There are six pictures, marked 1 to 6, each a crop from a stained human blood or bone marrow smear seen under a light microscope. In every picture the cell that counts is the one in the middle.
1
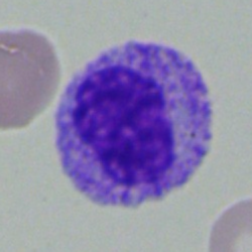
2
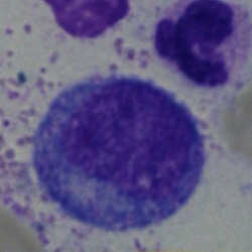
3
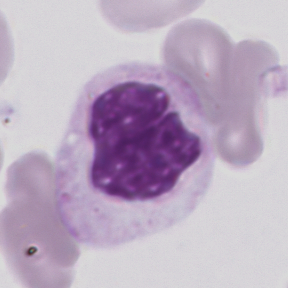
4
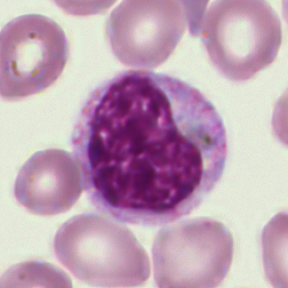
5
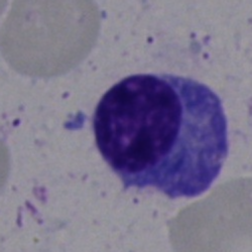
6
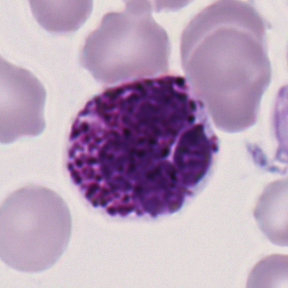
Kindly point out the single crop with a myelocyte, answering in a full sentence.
Crop 1, of the crops presented, is the one showing a myelocyte.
